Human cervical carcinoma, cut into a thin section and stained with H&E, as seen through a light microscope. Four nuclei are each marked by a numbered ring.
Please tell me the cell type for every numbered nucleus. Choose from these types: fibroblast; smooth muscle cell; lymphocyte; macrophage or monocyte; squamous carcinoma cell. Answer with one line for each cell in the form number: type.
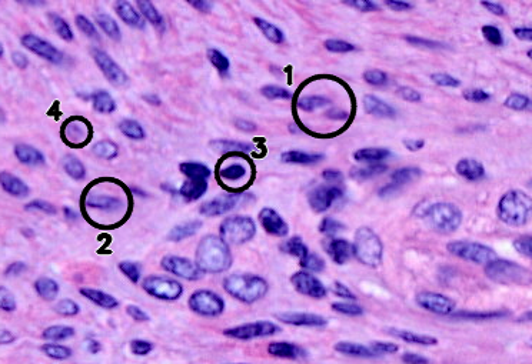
1: smooth muscle cell
2: smooth muscle cell
3: lymphocyte
4: smooth muscle cell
